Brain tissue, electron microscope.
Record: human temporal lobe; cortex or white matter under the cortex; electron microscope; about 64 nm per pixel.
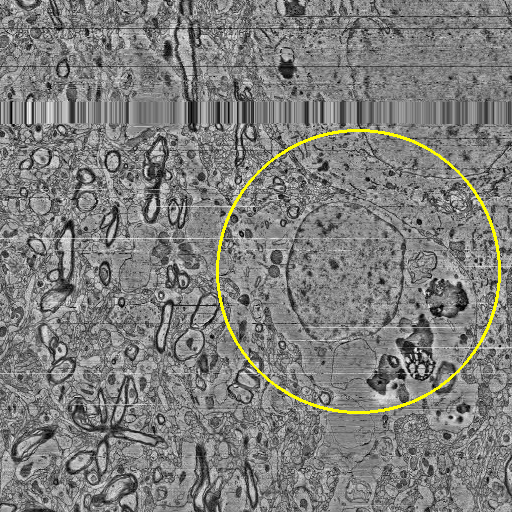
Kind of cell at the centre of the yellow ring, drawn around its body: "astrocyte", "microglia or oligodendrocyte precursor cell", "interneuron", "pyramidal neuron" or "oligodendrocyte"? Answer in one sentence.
The ring's centre falls on an astrocyte.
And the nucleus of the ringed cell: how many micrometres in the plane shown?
In this plane the nucleus is about 9 micrometres by 8.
